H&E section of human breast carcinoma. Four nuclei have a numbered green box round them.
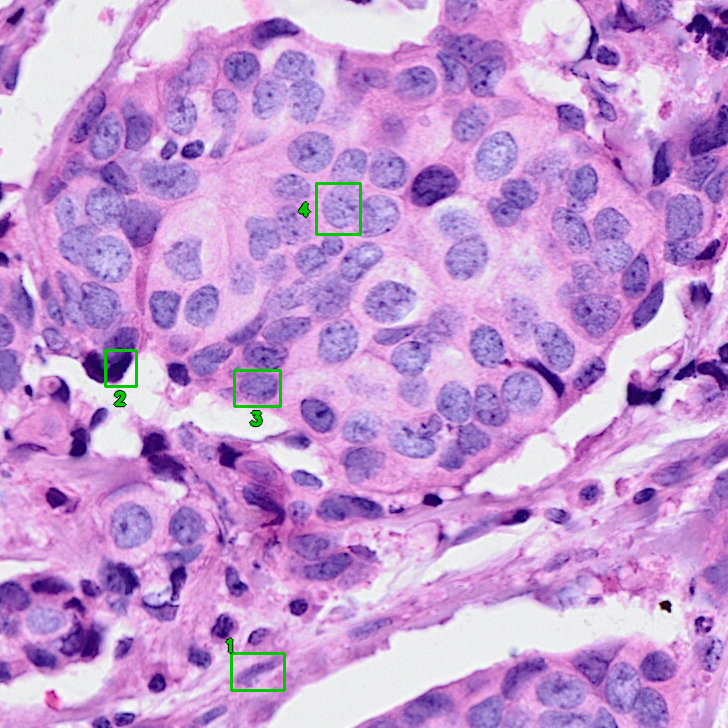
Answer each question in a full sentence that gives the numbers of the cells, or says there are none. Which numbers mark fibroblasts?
Only number 1 of the marked cells is a fibroblast.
